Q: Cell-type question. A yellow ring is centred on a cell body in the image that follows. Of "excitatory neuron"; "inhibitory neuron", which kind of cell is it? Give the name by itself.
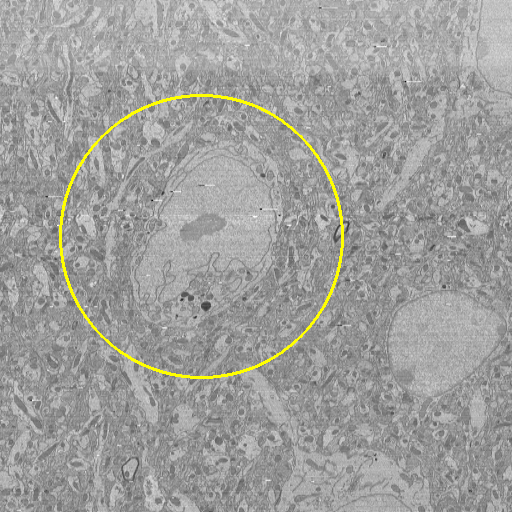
inhibitory neuron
